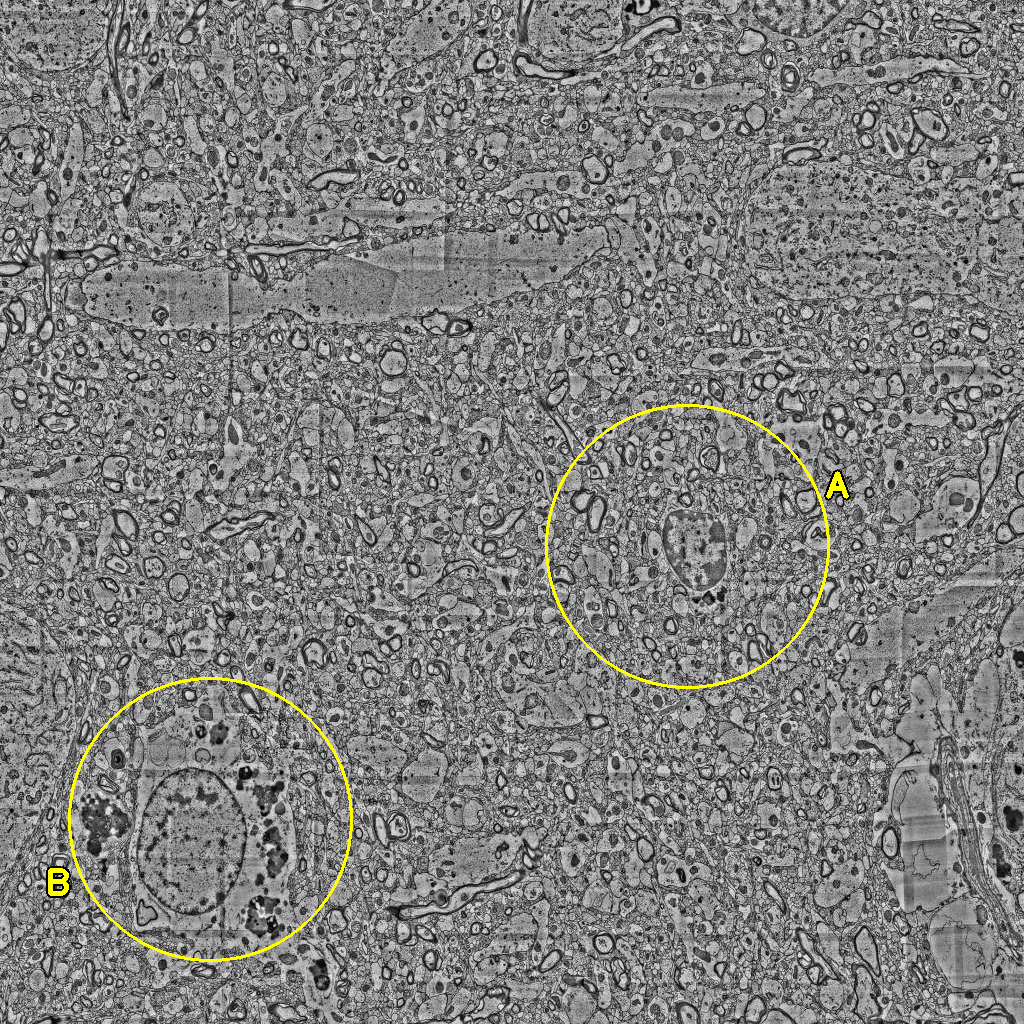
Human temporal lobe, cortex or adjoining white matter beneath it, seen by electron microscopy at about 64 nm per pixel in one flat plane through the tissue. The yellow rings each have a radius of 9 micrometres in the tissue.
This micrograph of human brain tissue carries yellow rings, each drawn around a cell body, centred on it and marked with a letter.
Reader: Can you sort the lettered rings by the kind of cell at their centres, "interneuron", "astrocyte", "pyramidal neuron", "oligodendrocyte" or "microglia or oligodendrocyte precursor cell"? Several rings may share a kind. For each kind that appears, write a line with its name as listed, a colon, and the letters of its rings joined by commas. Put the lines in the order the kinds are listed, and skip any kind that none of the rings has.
astrocyte: B
microglia or oligodendrocyte precursor cell: A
